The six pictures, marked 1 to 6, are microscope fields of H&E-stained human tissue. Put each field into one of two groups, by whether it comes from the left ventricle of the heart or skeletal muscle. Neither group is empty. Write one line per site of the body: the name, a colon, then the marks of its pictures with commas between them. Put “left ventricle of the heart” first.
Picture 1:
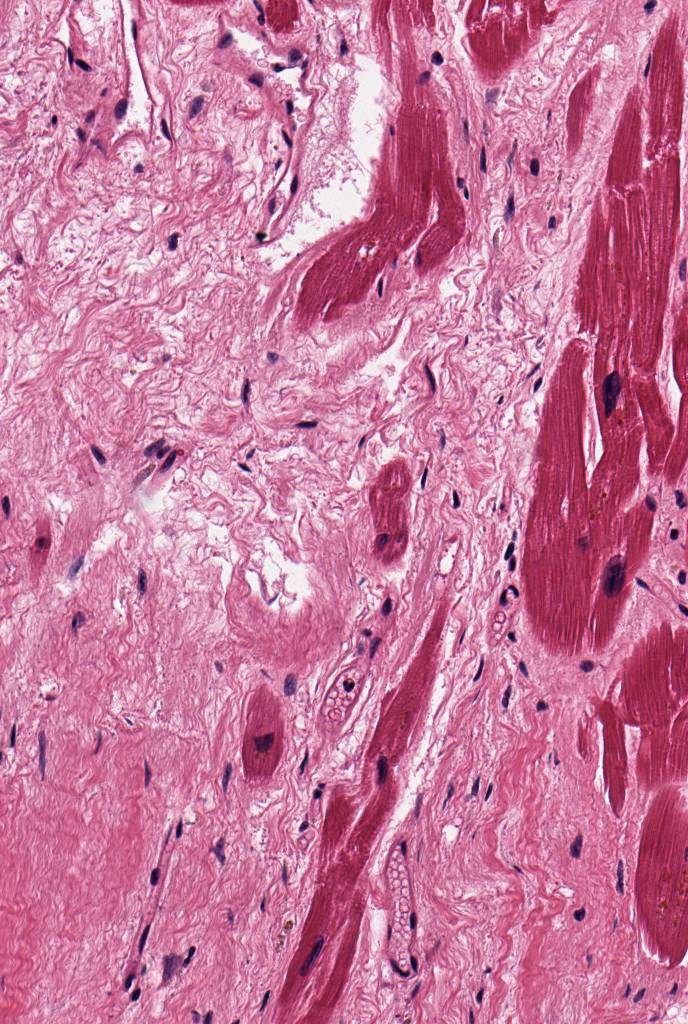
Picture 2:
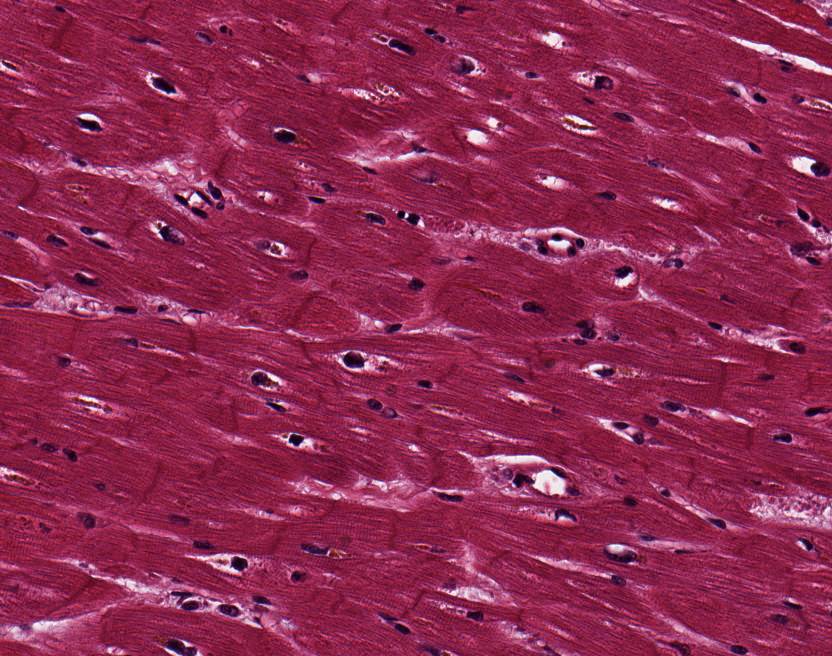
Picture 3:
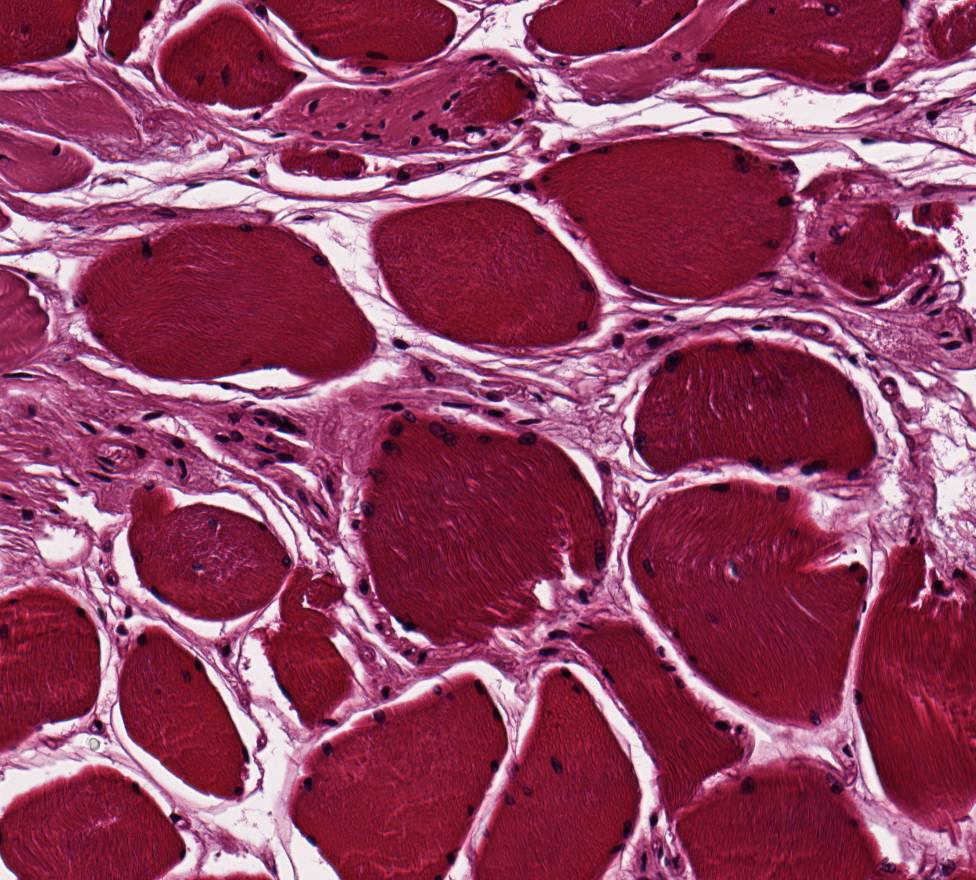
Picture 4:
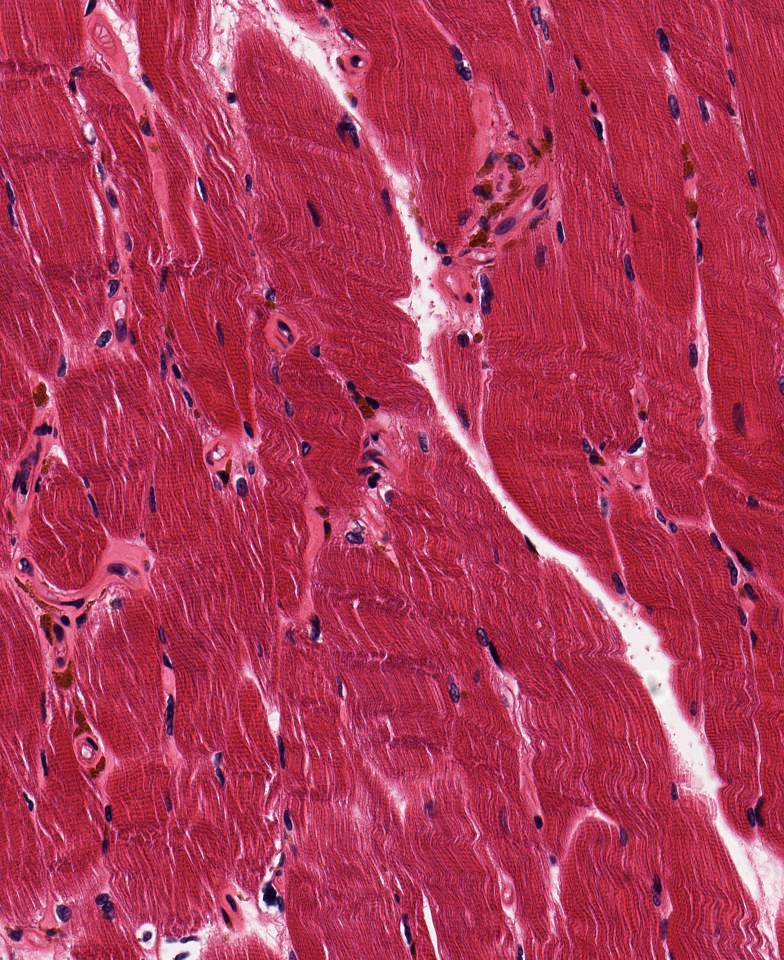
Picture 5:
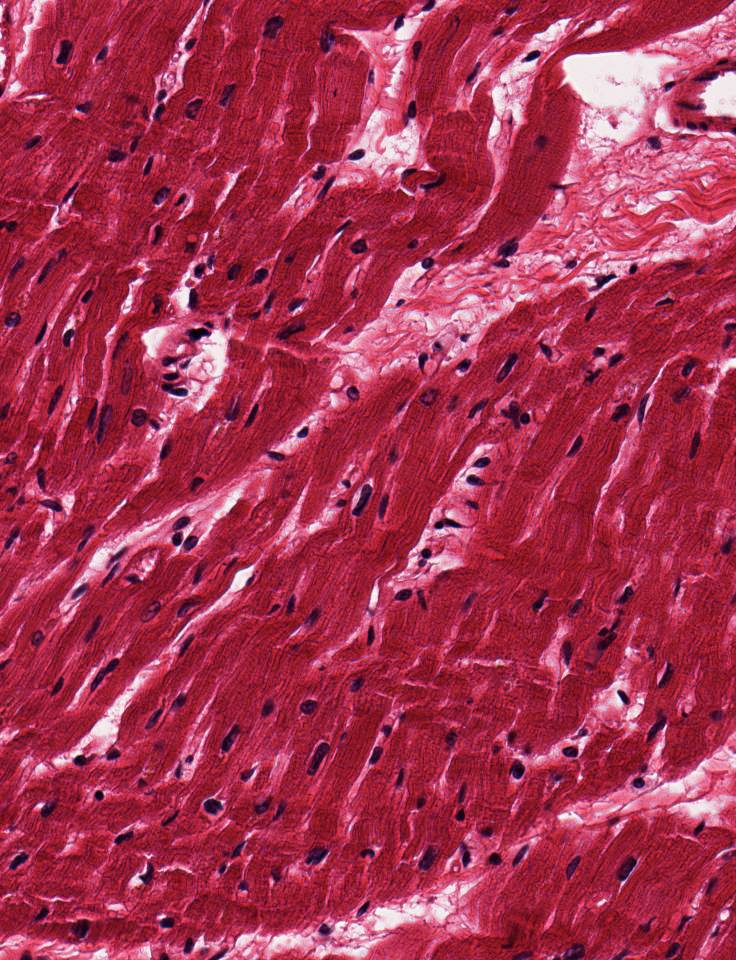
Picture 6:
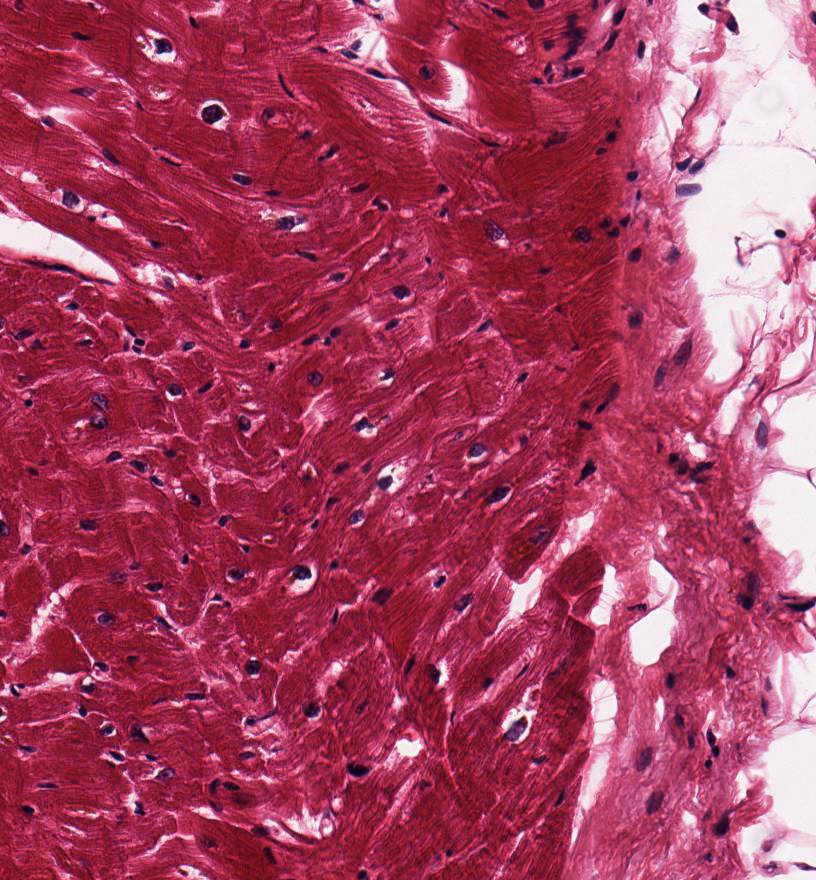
left ventricle of the heart: 1, 2, 5, 6
skeletal muscle: 3, 4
